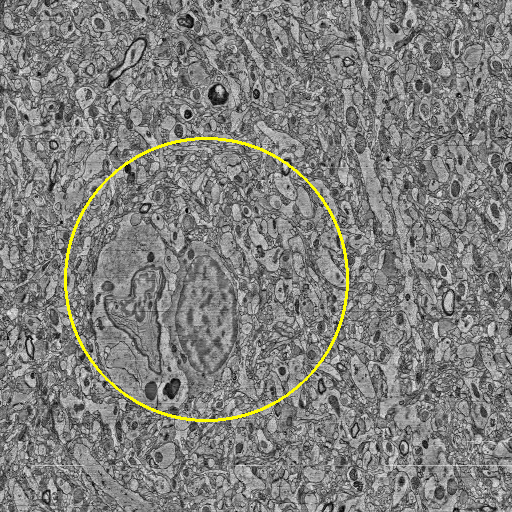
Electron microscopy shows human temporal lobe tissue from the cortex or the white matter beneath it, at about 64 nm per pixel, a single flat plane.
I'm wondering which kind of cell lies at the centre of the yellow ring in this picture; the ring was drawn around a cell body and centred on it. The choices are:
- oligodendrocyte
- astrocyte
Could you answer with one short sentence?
At the centre of the ring lies an oligodendrocyte.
